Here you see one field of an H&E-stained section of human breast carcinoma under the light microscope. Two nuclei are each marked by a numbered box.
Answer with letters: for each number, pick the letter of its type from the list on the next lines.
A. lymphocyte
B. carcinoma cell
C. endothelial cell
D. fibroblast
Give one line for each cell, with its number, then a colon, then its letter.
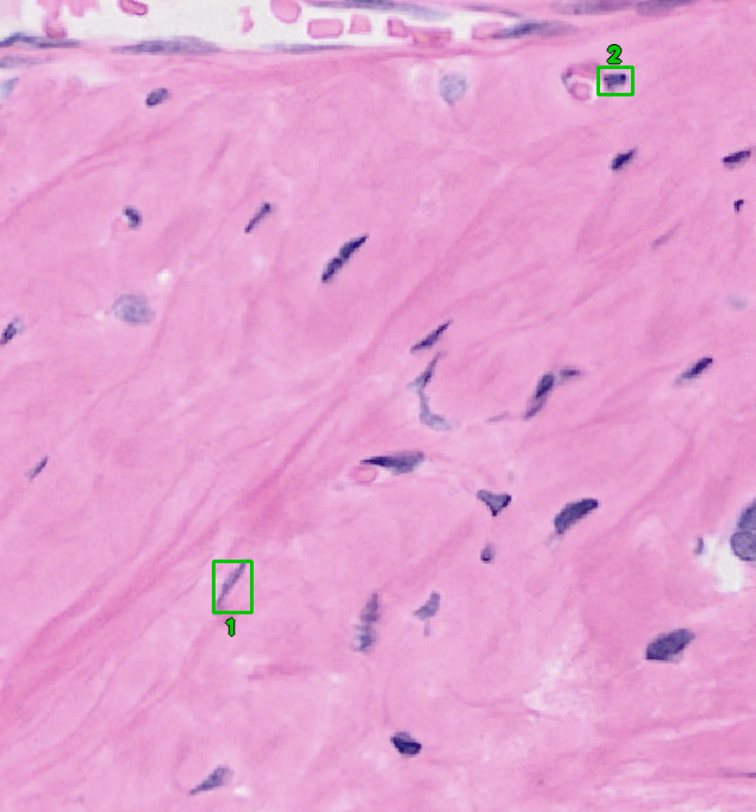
1: D
2: C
